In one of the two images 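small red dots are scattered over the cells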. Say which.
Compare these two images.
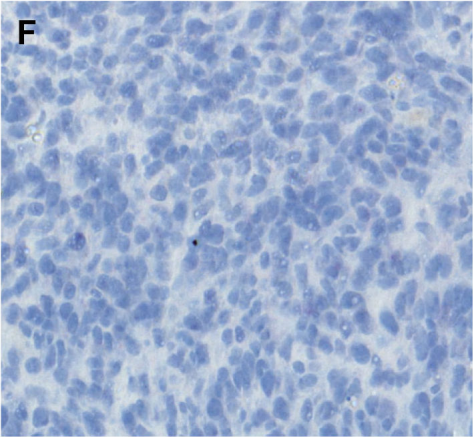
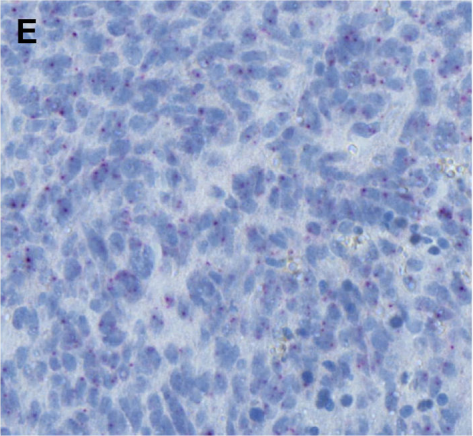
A: The second image.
